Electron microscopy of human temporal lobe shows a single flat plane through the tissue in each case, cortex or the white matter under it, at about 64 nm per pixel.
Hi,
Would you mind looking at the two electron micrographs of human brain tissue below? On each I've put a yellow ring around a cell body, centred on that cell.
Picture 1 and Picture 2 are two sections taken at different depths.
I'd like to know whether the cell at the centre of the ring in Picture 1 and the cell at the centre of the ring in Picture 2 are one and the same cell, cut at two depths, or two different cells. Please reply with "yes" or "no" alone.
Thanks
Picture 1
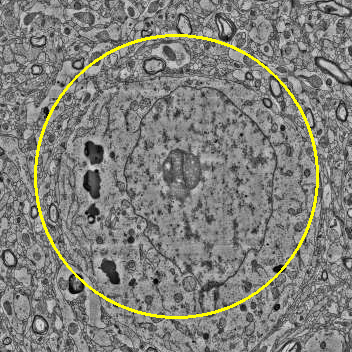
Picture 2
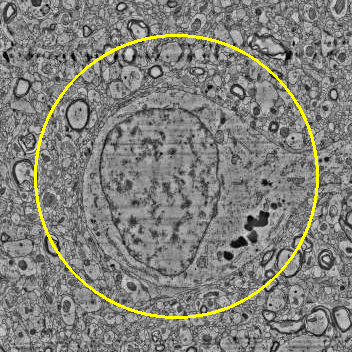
no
